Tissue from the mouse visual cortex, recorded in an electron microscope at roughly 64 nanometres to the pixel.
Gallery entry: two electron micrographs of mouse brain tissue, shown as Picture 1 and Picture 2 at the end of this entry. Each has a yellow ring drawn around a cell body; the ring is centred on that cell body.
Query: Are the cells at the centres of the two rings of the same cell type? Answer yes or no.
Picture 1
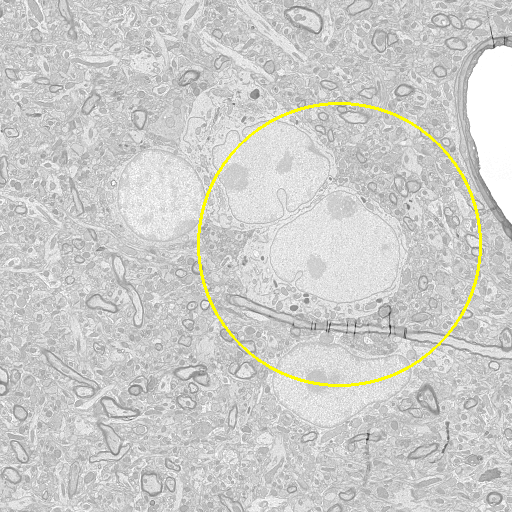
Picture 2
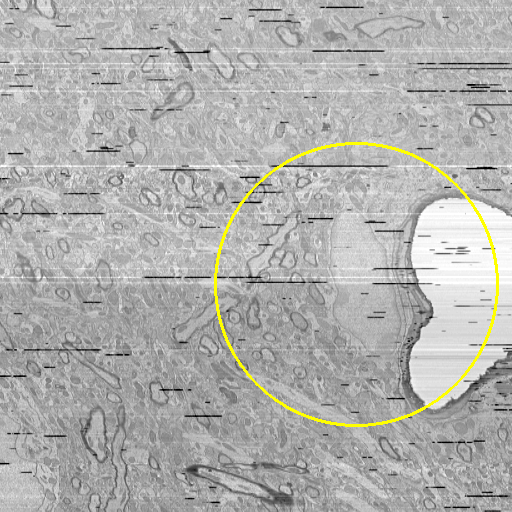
no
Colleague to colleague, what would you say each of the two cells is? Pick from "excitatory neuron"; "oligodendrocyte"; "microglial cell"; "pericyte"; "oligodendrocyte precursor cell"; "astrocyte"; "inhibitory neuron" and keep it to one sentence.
The cell in the first picture is an excitatory neuron; the second picture's cell is an astrocyte.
